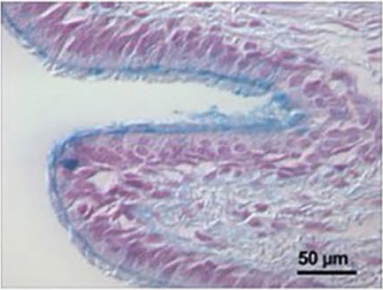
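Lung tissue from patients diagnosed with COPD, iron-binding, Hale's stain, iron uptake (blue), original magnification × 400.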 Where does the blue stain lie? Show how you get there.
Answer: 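A thin blue line runs along the luminal edge of a tall columnar epithelium. The epithelial cells below have magenta elongated nuclei and little blue in their cytoplasm.
Hence: apical surface of the airway epithelium.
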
